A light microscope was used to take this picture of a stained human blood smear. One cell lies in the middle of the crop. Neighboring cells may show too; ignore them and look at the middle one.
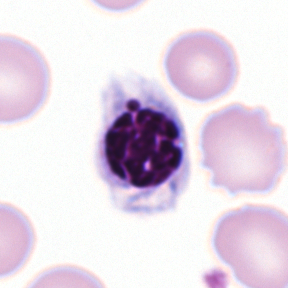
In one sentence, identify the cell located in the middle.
At the center of the crop sits an erythroblast.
